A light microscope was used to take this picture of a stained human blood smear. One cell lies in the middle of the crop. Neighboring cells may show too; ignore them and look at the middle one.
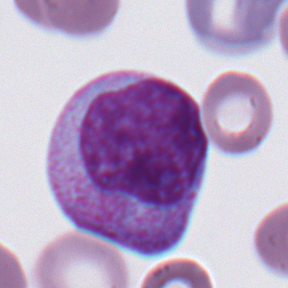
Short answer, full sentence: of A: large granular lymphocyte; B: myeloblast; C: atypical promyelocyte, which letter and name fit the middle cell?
The central cell of the crop is an atypical promyelocyte, which makes C the correct option.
